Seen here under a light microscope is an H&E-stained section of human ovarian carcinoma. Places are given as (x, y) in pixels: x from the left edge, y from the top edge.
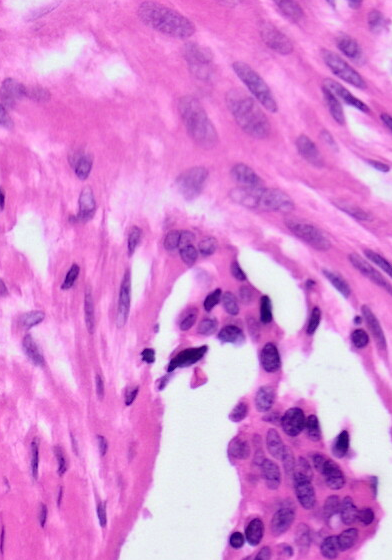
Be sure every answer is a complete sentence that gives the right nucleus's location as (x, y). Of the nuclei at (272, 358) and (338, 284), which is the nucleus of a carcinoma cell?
The nucleus at (272, 358) is identified as belonging to a carcinoma cell.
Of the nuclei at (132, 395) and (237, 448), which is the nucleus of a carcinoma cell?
Belonging to a carcinoma cell is the nucleus at (237, 448).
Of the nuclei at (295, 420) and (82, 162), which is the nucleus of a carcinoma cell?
Among the two nuclei, the one lying at (295, 420) is part of a carcinoma cell.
